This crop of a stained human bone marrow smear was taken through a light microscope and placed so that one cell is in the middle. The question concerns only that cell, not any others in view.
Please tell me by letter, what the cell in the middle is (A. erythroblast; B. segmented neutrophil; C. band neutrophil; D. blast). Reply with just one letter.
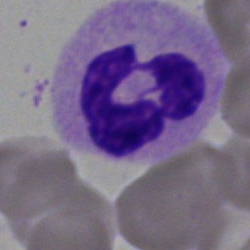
B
